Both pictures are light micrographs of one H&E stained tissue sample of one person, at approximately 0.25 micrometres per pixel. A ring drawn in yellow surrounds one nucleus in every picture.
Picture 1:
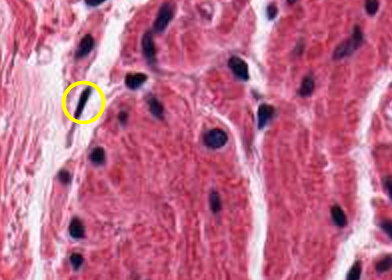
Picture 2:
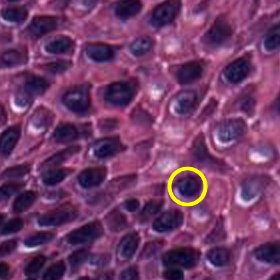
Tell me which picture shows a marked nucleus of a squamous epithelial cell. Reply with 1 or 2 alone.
2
